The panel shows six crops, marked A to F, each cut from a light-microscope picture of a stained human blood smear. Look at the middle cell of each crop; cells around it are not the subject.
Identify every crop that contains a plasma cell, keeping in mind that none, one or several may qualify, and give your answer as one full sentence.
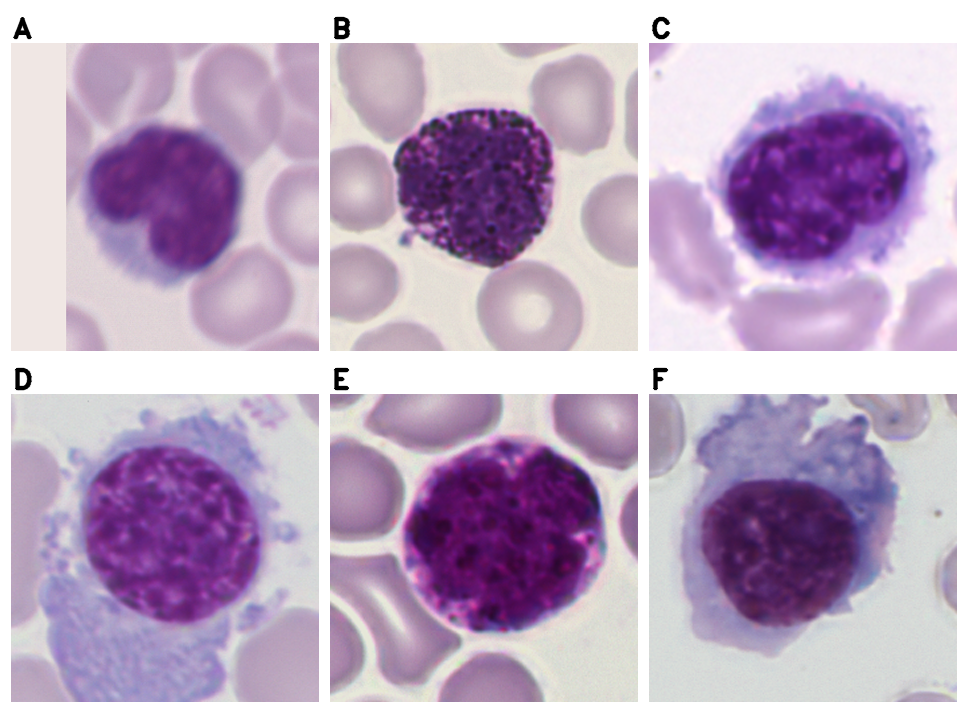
That crops C, D and F show plasma cells is the identification made here.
